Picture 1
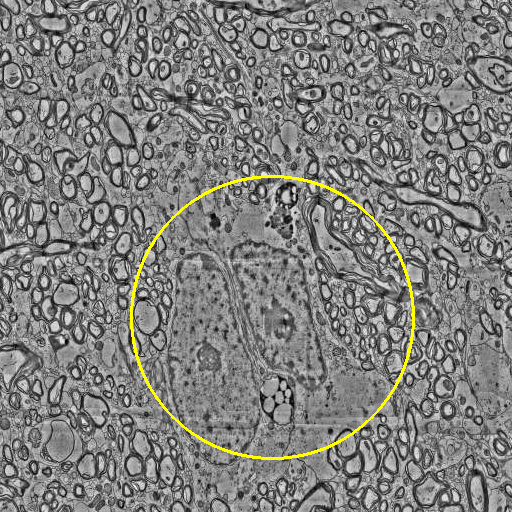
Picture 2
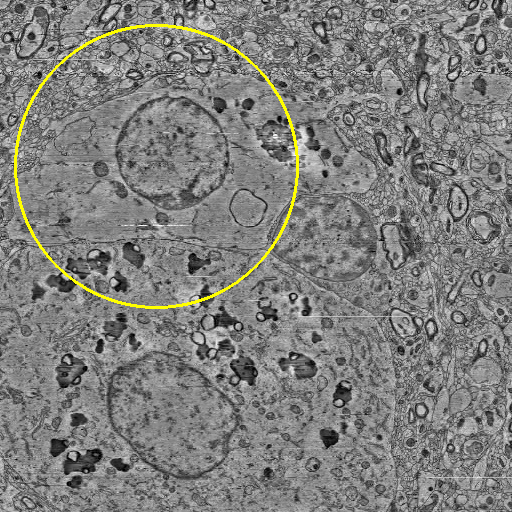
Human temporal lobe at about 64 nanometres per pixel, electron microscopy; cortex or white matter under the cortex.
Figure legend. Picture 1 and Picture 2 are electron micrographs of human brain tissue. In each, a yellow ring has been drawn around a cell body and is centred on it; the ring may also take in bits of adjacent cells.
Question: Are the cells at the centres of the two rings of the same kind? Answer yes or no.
yes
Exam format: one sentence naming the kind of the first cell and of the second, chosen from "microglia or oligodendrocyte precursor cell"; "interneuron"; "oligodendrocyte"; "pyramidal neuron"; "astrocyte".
Each of the two cells is an astrocyte.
